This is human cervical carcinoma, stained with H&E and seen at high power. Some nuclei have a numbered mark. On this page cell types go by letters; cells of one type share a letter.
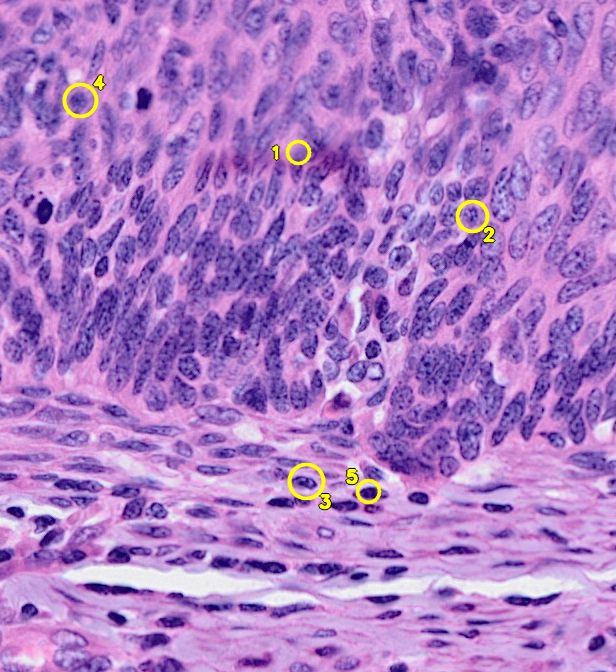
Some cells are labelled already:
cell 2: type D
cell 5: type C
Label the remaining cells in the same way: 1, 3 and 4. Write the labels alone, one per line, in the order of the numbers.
type D
type C
type D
